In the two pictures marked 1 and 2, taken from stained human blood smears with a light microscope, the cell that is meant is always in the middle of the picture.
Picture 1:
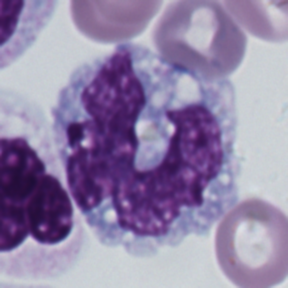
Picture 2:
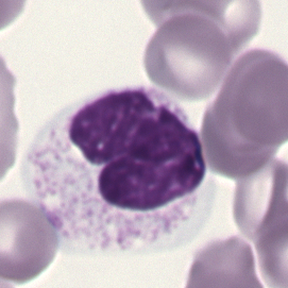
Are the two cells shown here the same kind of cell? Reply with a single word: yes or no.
no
